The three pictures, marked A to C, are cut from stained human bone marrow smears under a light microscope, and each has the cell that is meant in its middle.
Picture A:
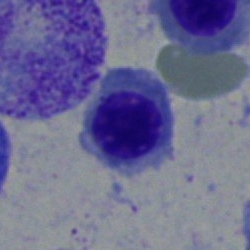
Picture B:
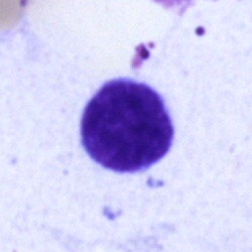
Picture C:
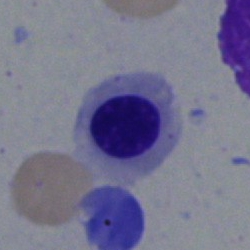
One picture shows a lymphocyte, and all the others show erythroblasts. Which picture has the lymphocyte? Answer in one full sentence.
The lymphocyte is the one in picture B.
